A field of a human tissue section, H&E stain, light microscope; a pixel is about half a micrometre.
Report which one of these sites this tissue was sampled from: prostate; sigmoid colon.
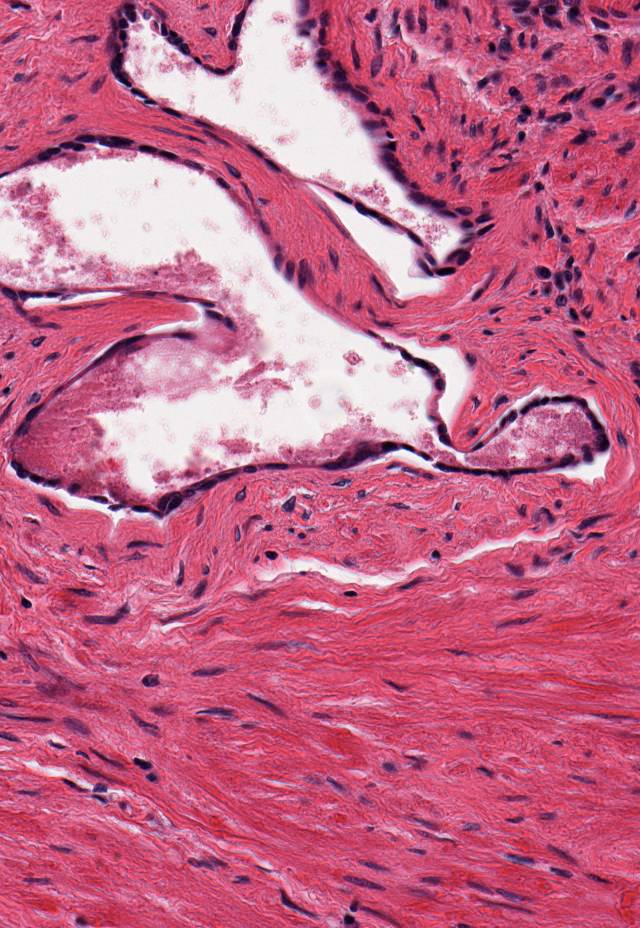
prostate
